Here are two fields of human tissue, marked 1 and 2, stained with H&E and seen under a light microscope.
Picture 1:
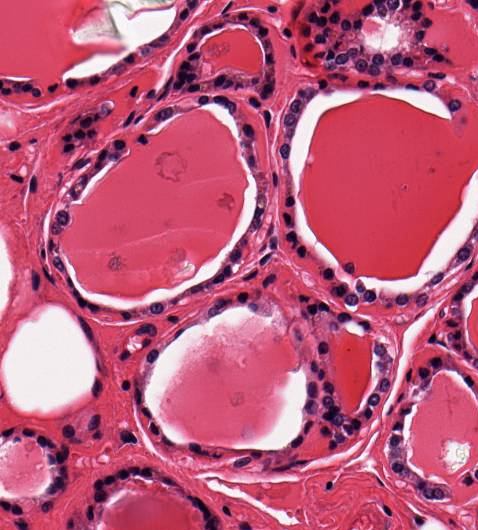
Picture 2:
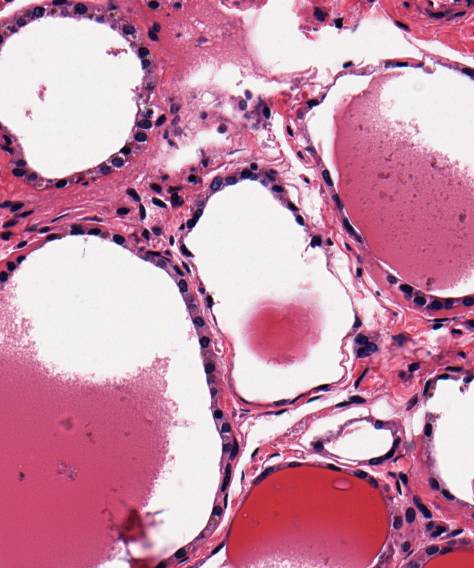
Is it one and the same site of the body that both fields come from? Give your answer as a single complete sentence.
Yes, both come from the thyroid.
